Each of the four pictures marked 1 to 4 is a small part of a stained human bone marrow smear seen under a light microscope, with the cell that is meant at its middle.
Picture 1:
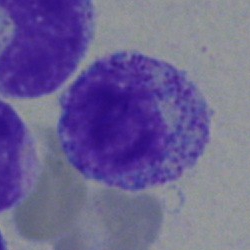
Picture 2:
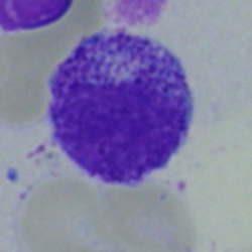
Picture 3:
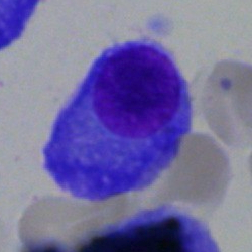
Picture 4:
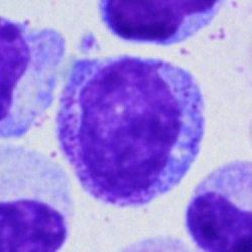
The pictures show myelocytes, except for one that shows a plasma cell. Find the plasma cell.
3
